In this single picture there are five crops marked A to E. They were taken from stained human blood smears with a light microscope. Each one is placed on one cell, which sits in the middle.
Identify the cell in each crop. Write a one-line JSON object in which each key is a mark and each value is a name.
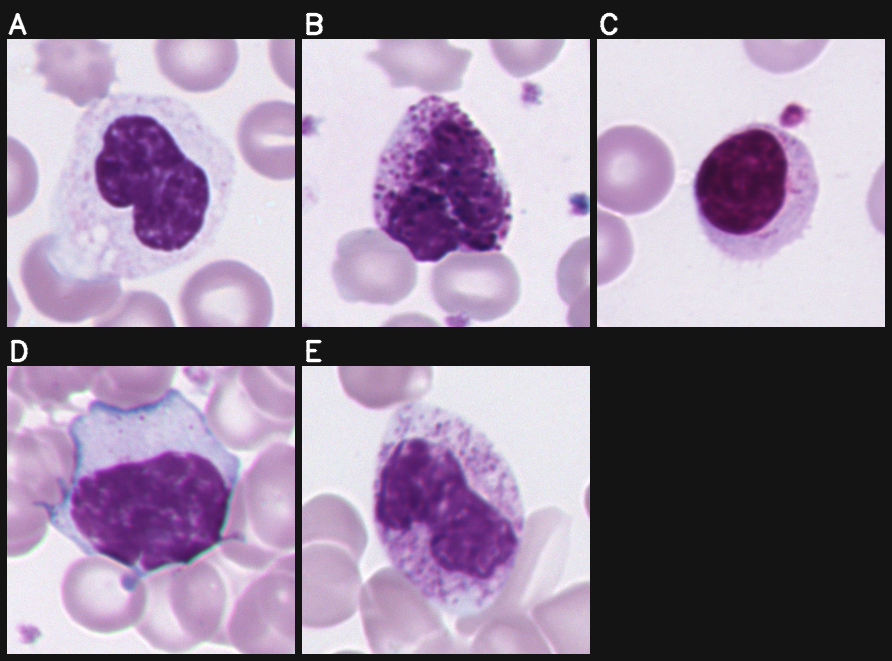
{"A": "band neutrophil", "B": "basophil", "C": "large granular lymphocyte", "D": "large granular lymphocyte", "E": "band neutrophil"}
